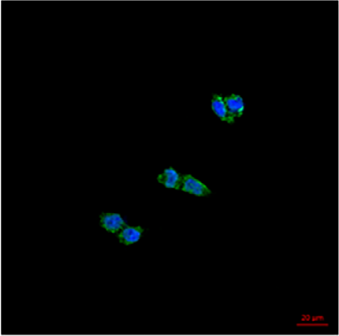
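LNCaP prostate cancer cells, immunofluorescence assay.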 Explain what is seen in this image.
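A granular green signal fills the cytoplasm around the nucleus and is brightest at the cell margins. The cells are compact and rounded, without long processes, and lie close against one another within each group.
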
